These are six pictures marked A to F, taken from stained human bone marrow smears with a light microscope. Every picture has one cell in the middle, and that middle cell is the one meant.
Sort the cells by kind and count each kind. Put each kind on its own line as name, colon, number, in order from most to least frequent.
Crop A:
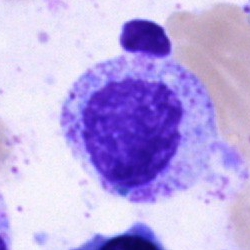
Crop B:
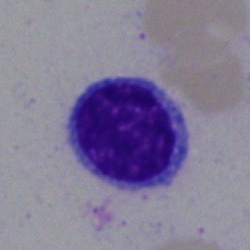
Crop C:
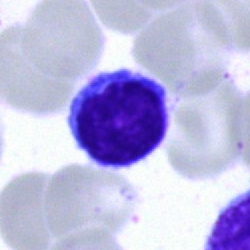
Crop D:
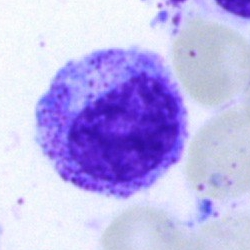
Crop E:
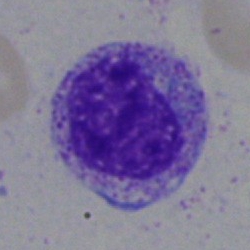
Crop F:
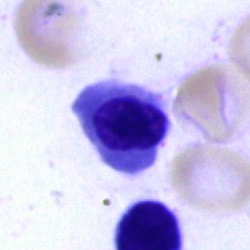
myelocyte: 3
lymphocyte: 2
erythroblast: 1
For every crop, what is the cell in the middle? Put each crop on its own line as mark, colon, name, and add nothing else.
A: myelocyte
B: lymphocyte
C: lymphocyte
D: myelocyte
E: myelocyte
F: erythroblast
